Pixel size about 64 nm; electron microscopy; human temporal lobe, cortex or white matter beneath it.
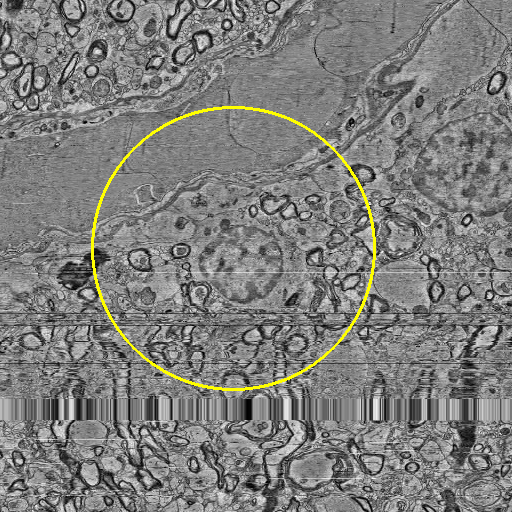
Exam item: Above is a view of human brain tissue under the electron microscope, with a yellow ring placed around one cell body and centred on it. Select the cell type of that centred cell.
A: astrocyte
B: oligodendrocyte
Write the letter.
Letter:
B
